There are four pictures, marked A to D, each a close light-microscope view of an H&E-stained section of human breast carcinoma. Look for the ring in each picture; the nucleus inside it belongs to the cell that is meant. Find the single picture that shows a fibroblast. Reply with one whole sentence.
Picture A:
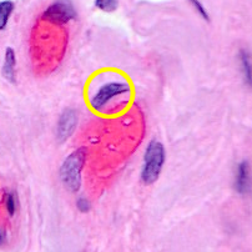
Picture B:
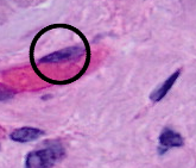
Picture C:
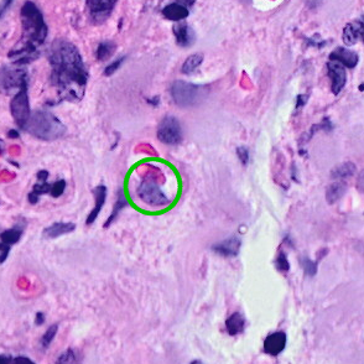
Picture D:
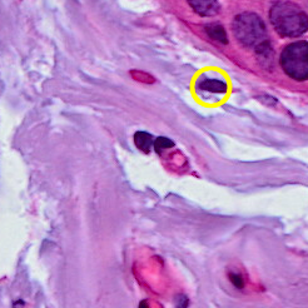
Picture D shows the fibroblast.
